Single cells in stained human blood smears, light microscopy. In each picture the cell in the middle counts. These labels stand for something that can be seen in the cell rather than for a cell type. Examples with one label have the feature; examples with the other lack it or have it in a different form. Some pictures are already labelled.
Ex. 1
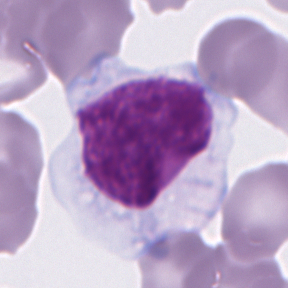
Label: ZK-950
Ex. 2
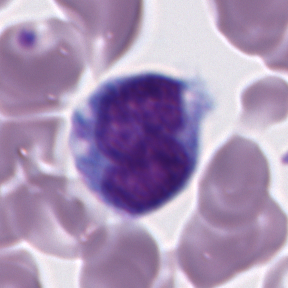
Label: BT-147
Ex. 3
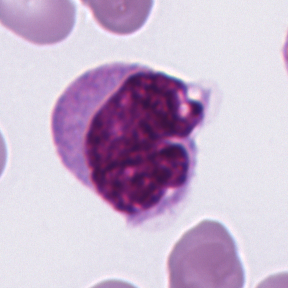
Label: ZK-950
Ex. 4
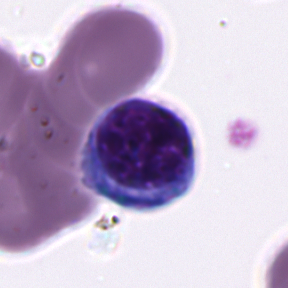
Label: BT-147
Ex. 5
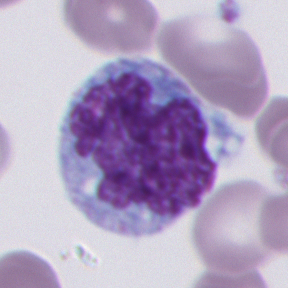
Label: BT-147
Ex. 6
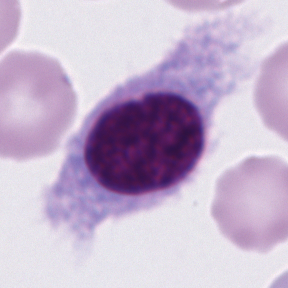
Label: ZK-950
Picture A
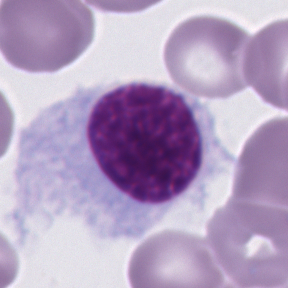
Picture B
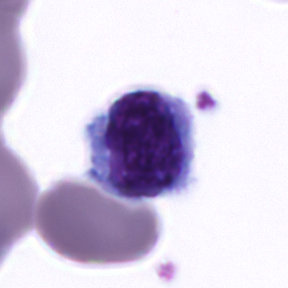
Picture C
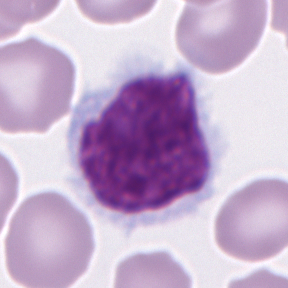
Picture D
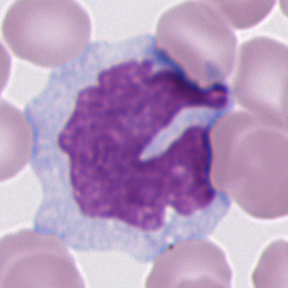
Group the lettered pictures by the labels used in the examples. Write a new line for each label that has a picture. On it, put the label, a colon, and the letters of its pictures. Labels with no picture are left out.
ZK-950: A, D
BT-147: B, C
